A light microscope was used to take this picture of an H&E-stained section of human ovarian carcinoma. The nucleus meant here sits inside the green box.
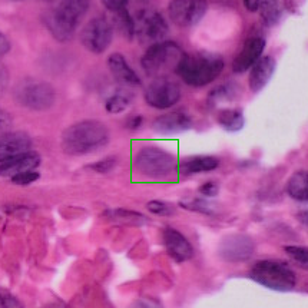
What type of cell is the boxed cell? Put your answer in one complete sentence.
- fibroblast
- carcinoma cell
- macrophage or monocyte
Assigned to a cell type, the boxed cell is a carcinoma cell.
